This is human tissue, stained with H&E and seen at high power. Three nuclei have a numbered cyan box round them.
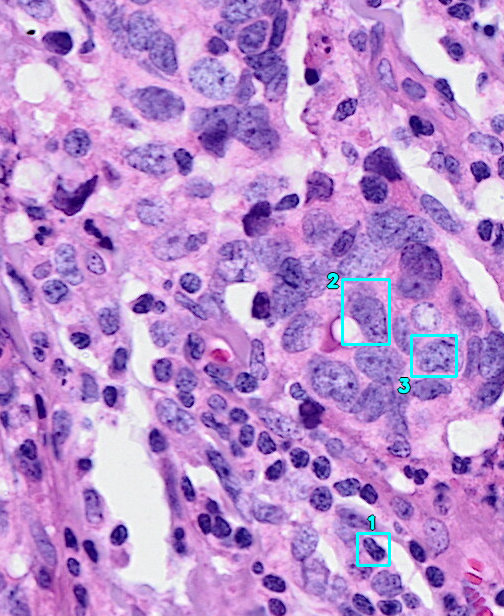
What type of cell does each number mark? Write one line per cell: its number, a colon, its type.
1: lymphocyte
2: carcinoma cell
3: carcinoma cell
